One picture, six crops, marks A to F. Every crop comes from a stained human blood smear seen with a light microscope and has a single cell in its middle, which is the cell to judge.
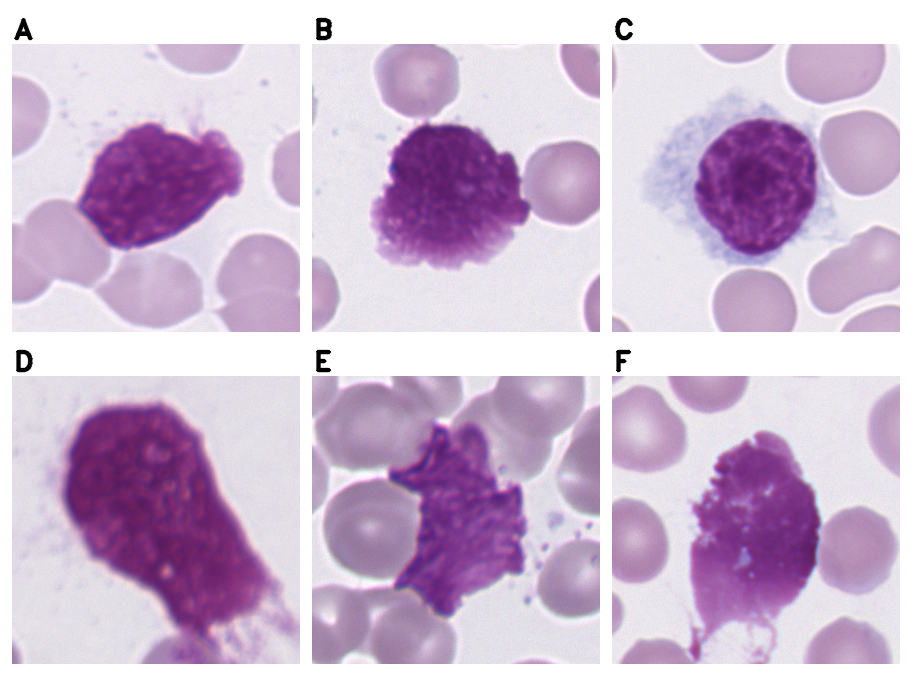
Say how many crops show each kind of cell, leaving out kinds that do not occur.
smudge cell: 5
hairy cell: 1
